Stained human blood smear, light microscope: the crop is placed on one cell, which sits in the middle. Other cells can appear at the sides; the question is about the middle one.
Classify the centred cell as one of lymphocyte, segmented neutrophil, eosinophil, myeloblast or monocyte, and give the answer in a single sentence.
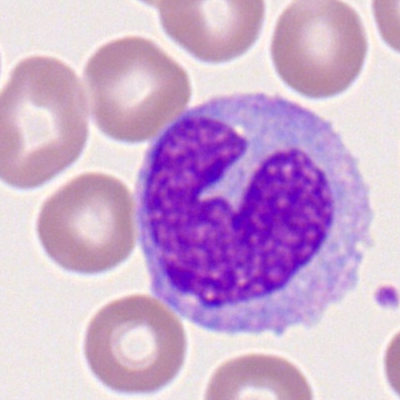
The cell in the exact centre of the crop is a monocyte.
